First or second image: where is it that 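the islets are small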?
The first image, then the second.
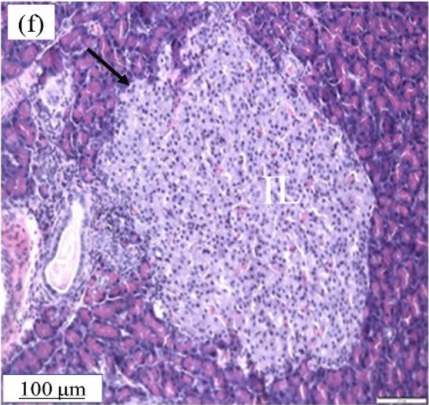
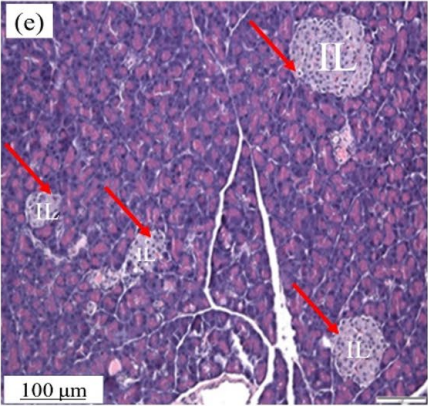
the second image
